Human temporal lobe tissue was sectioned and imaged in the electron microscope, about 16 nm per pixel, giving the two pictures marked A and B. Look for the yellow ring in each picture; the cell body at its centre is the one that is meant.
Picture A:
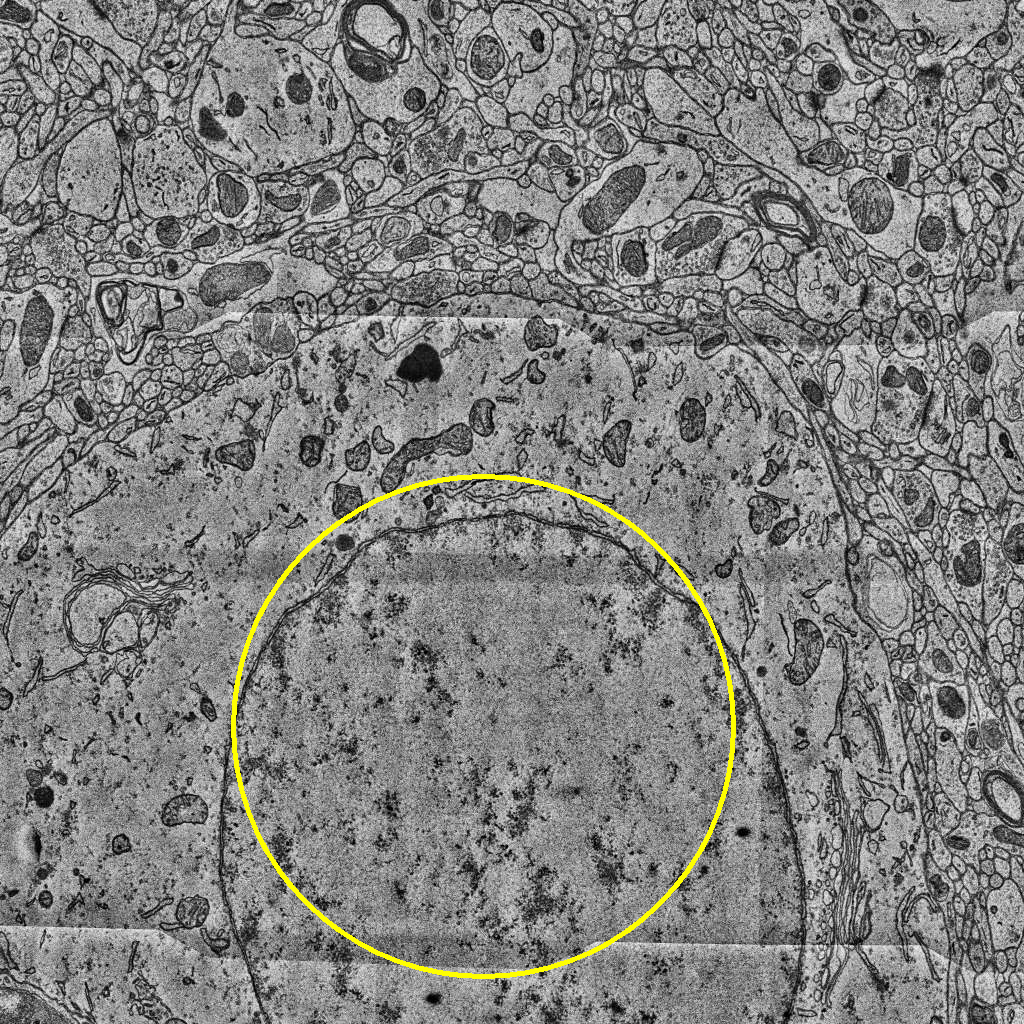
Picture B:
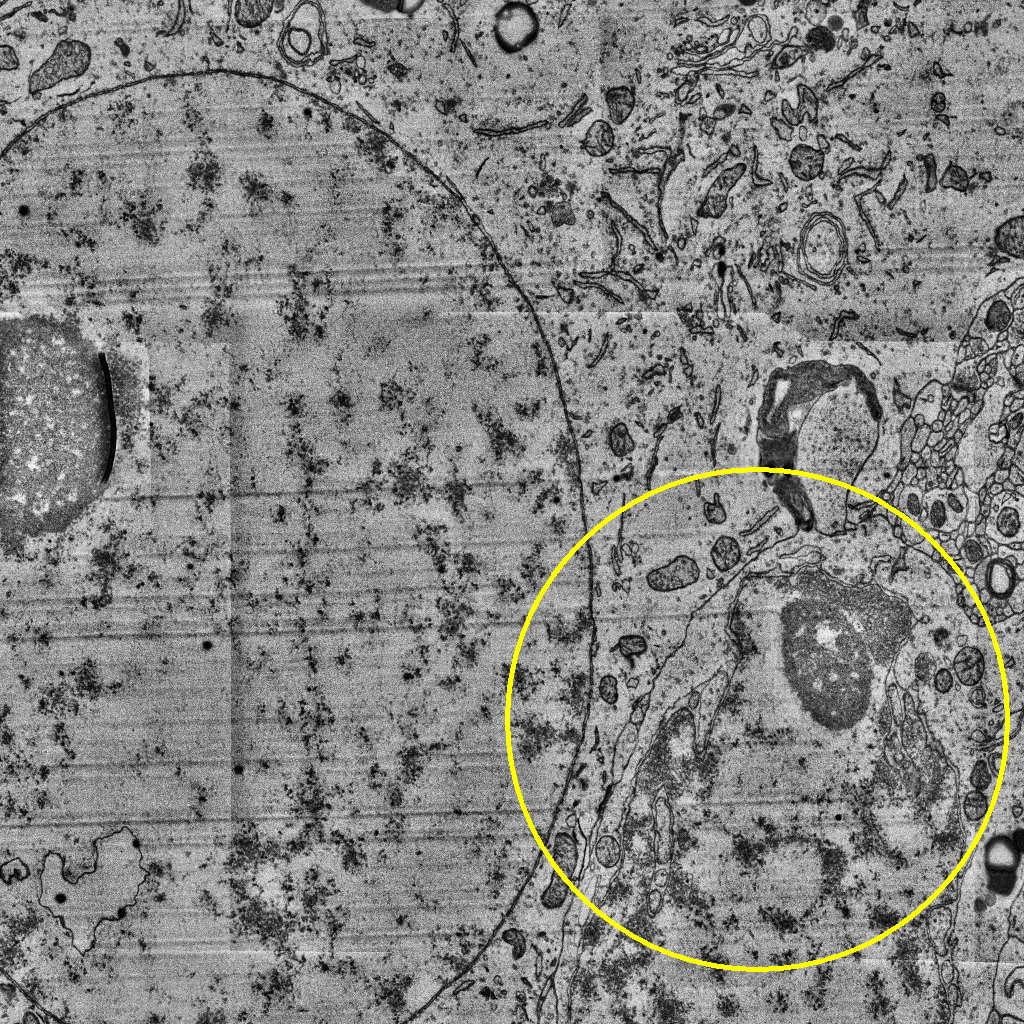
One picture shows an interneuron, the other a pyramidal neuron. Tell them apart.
It is picture A that shows a pyramidal neuron, and picture B that shows an interneuron.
